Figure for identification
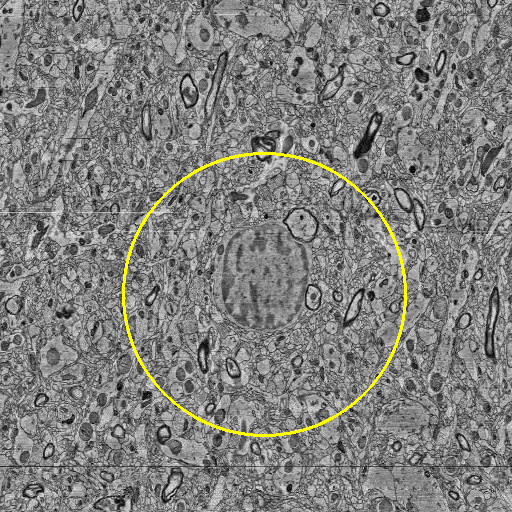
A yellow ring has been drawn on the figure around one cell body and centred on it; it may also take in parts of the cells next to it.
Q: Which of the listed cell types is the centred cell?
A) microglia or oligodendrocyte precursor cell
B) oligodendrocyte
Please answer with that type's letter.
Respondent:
B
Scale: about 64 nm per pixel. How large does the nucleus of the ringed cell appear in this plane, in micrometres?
The ringed cell's nucleus is about 8 micrometres long and 5 micrometres wide in this plane.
